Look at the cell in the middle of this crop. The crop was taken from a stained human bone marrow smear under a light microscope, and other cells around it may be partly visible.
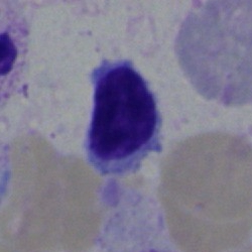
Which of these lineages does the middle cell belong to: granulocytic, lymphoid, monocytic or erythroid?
lymphoid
